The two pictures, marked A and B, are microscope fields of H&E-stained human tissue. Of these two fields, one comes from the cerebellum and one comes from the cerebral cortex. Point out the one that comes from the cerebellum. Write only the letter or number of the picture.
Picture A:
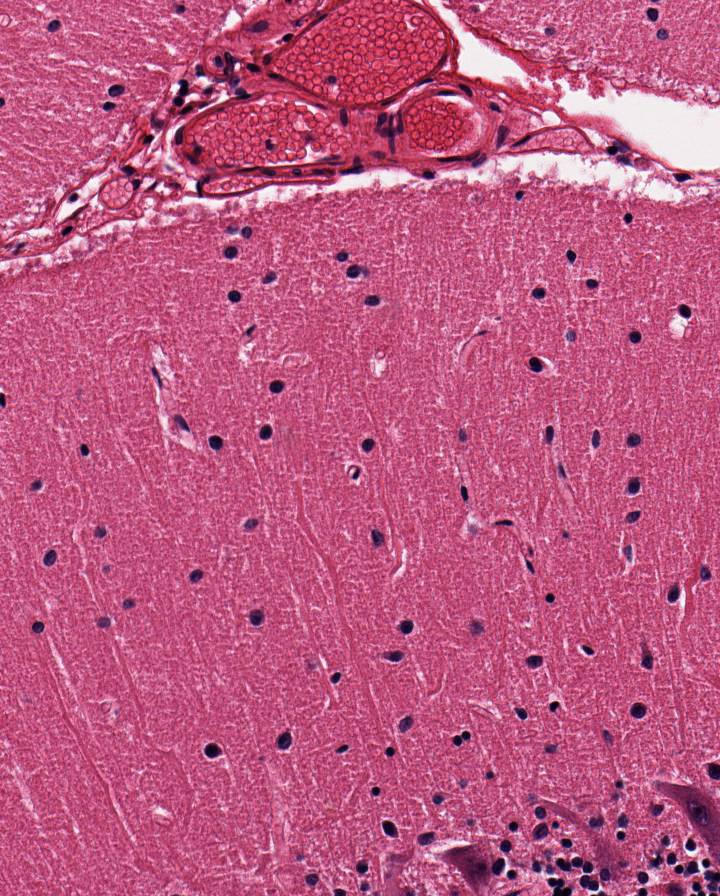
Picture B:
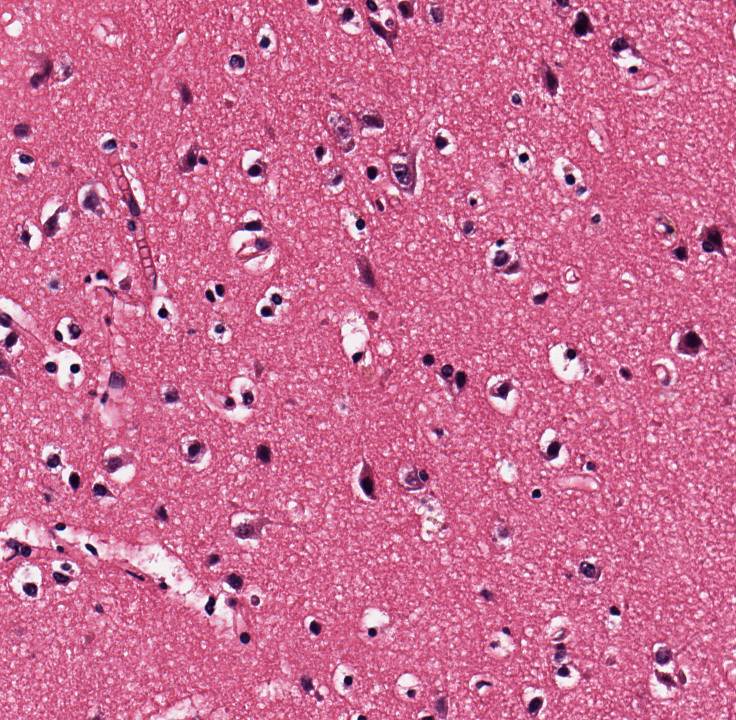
A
